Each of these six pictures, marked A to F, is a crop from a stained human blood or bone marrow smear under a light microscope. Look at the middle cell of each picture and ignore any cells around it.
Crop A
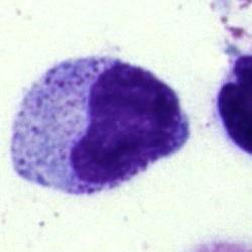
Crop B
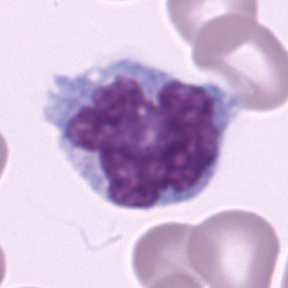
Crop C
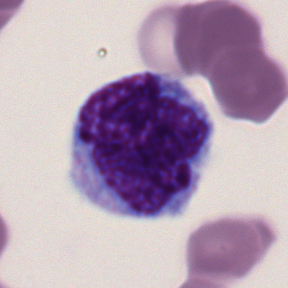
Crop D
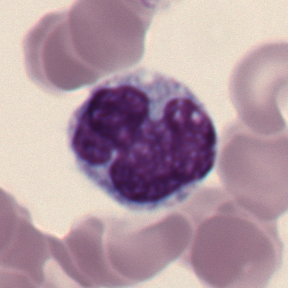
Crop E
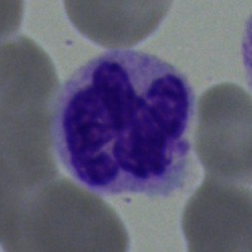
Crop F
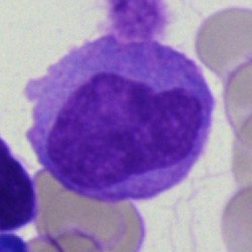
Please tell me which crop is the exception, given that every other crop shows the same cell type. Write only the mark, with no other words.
A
